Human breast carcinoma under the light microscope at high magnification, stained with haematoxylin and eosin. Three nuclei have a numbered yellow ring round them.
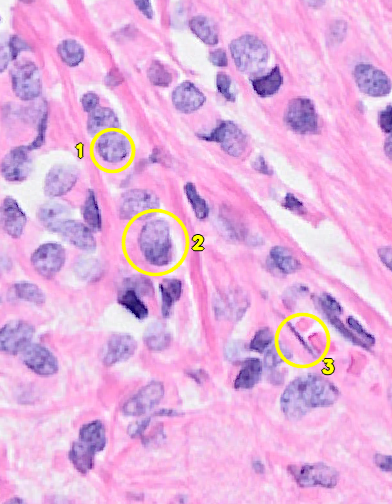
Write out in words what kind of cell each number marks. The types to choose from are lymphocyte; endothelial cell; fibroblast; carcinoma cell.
Cells 1 and 2 are carcinoma cells. Cell 3 is an endothelial cell.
